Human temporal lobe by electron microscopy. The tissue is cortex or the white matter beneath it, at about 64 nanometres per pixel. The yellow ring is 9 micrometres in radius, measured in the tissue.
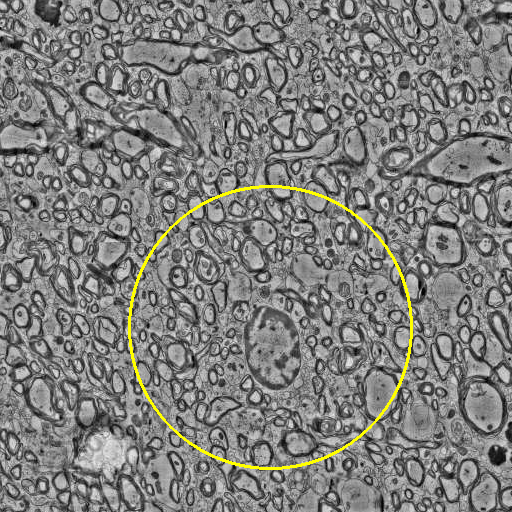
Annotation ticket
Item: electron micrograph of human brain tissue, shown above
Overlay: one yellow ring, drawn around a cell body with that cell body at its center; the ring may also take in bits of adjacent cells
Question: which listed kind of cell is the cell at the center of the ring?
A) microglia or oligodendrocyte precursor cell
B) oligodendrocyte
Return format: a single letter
A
